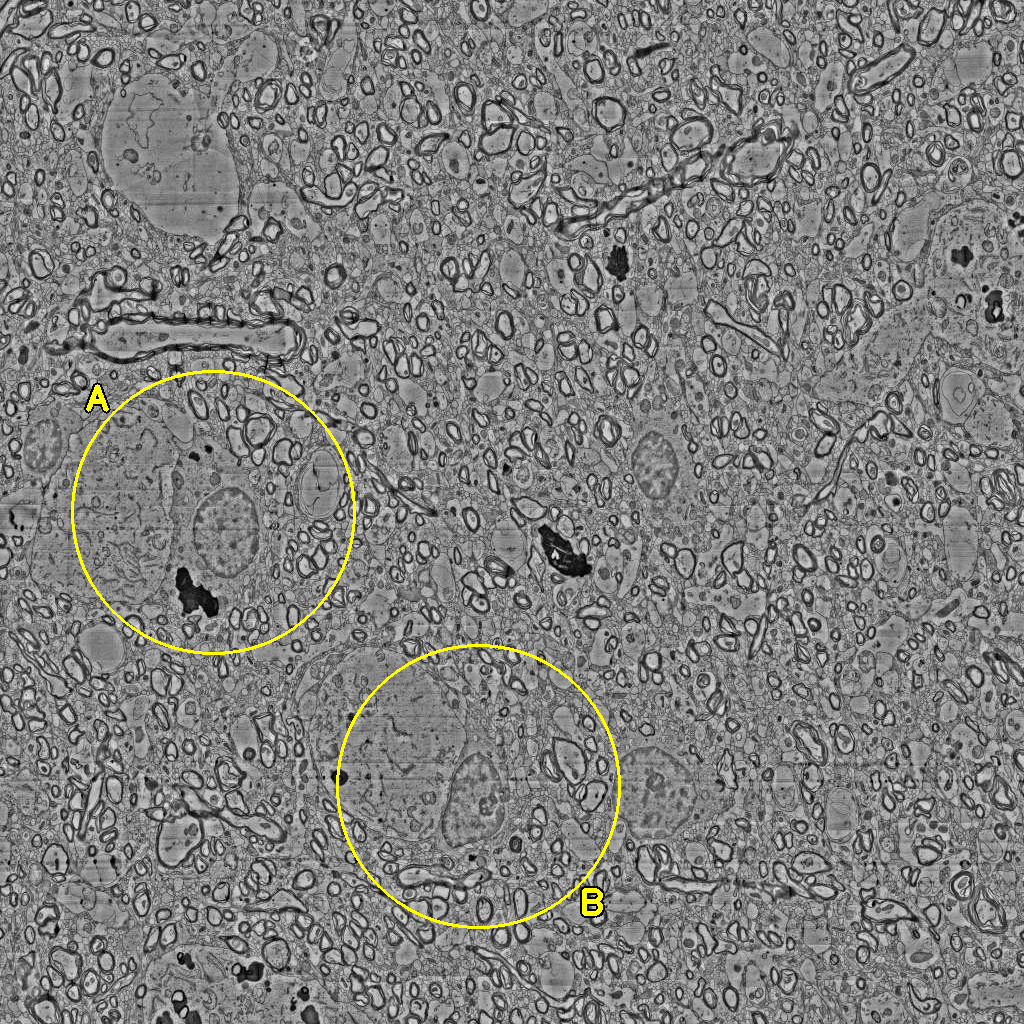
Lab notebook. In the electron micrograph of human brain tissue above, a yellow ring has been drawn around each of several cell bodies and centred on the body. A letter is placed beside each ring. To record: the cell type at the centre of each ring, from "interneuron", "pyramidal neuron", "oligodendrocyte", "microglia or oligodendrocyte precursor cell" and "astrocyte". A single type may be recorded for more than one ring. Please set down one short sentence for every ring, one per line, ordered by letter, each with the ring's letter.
The centre of ring A is occupied by an oligodendrocyte.
The centre of ring B is occupied by an oligodendrocyte.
